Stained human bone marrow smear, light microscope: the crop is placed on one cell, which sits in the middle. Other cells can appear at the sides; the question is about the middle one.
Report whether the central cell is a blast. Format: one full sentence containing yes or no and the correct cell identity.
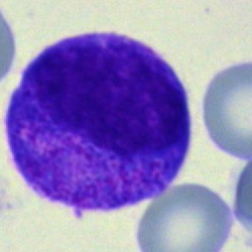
No, the middle cell is actually a promyelocyte rather than a blast.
